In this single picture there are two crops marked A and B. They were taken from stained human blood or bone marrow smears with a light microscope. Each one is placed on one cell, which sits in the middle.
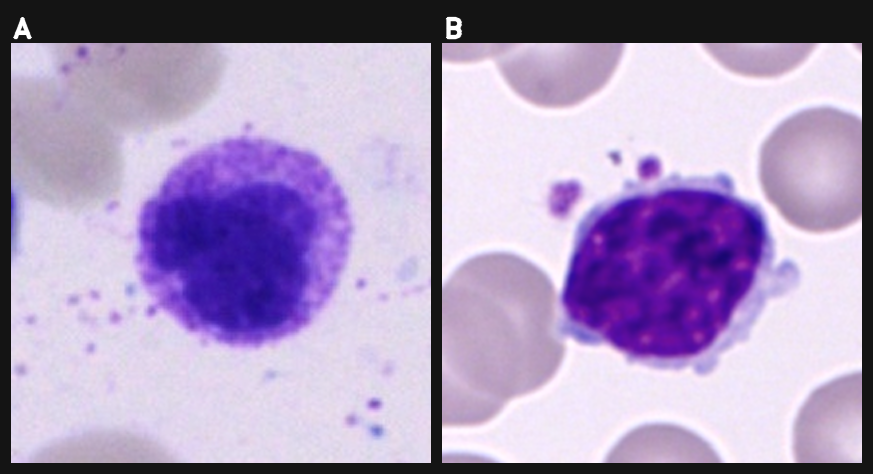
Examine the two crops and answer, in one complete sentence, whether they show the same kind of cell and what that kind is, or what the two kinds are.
No, look again: crop A shows a basophil, and crop B shows a lymphocyte.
